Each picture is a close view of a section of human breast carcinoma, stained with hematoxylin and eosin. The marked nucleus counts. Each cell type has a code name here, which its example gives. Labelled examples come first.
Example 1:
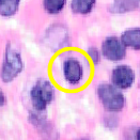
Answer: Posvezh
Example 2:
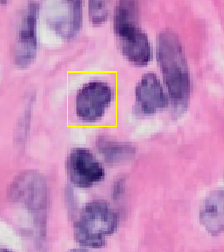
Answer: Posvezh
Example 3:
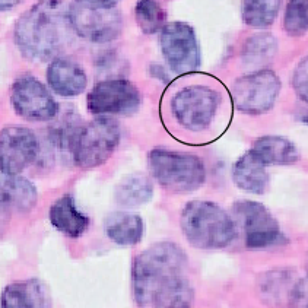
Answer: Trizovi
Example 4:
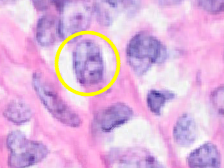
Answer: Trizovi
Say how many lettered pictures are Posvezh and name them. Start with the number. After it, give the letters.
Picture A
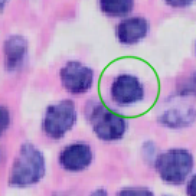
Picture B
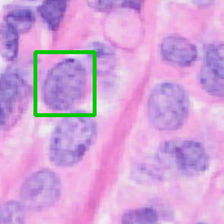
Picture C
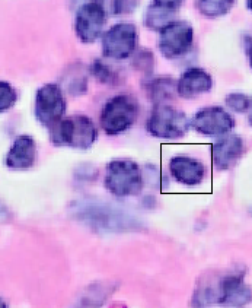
2, namely A, C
